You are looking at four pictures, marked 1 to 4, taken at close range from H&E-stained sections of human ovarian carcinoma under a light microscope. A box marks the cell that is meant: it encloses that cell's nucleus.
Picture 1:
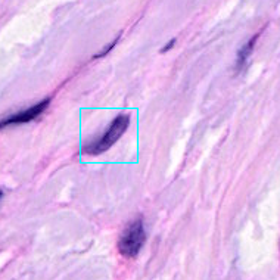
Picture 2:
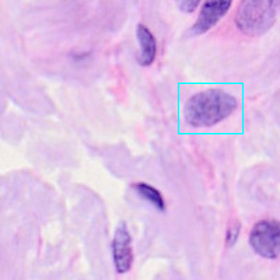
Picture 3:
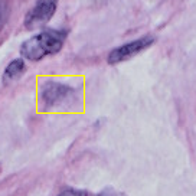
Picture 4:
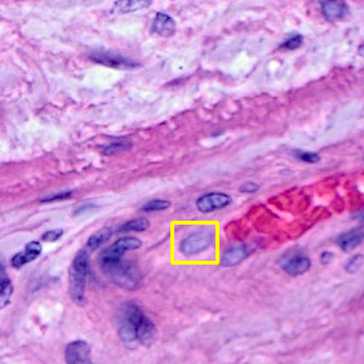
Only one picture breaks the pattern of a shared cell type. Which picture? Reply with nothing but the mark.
4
